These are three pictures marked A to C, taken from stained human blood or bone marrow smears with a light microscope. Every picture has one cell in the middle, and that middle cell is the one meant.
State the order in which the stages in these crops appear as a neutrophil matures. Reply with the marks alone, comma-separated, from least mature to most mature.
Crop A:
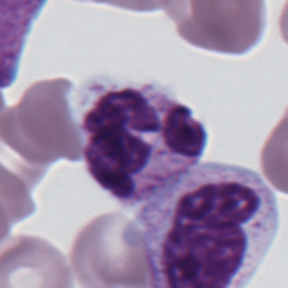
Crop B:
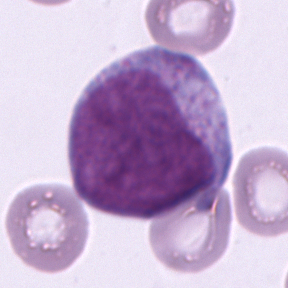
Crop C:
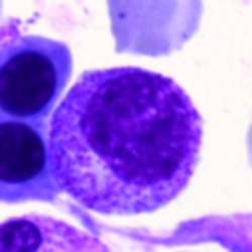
B, C, A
